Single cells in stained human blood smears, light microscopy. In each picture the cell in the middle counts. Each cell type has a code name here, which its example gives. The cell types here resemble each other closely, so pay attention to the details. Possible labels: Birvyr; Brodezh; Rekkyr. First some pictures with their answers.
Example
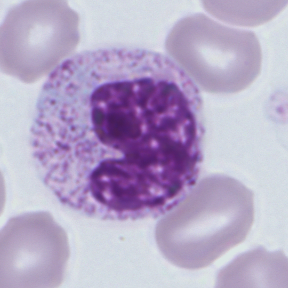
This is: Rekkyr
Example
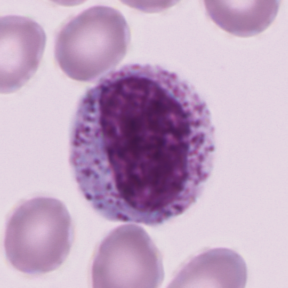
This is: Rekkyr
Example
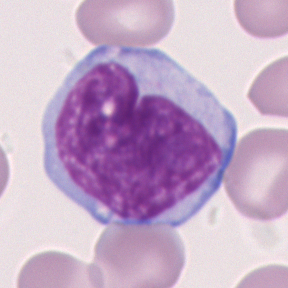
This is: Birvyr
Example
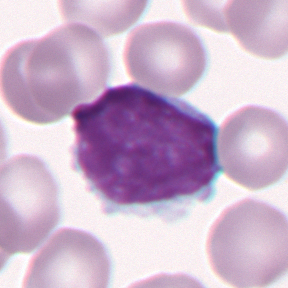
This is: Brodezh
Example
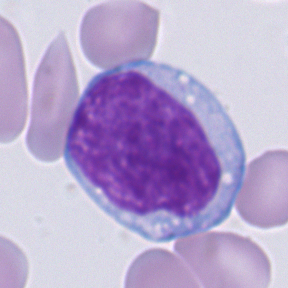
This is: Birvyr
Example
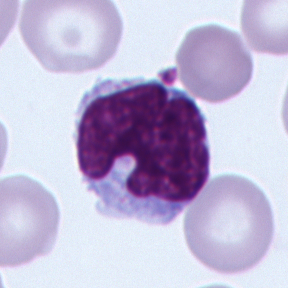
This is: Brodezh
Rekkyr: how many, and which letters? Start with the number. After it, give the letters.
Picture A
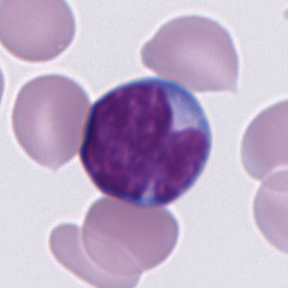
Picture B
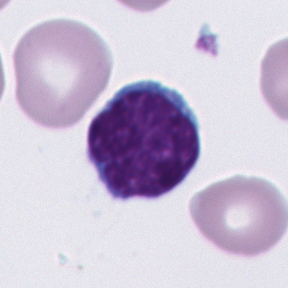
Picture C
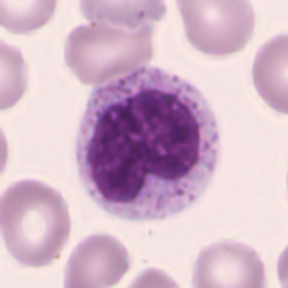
1, namely C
